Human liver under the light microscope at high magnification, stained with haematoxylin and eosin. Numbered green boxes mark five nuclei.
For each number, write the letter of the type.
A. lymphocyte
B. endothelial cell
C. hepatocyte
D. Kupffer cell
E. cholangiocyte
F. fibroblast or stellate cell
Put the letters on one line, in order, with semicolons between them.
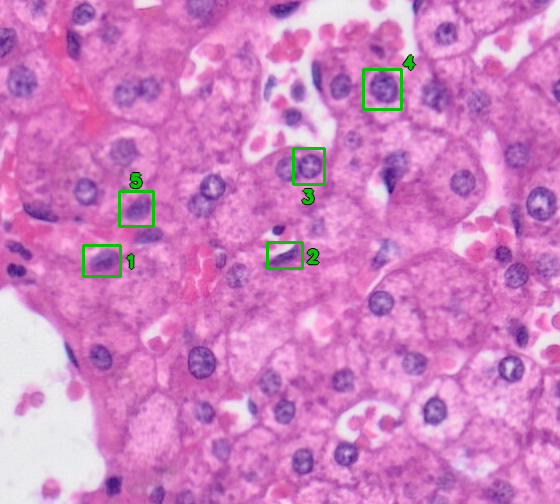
B; B; C; C; B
